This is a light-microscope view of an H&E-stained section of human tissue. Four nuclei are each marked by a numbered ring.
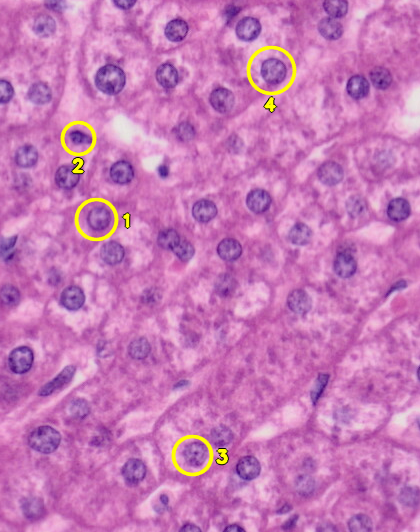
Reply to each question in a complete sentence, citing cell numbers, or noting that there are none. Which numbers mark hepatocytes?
The cells given the numbers 1, 3 and 4 are hepatocytes.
